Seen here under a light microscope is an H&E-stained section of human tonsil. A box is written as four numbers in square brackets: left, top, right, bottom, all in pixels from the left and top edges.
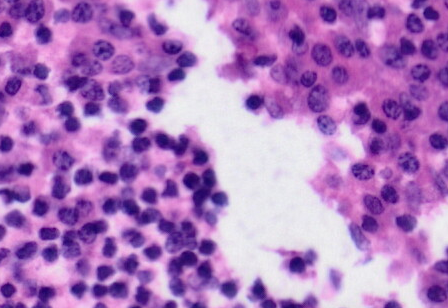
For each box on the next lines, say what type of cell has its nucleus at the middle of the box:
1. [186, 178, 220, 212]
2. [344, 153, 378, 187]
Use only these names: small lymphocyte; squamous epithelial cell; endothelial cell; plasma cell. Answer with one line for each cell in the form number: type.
1: small lymphocyte
2: plasma cell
